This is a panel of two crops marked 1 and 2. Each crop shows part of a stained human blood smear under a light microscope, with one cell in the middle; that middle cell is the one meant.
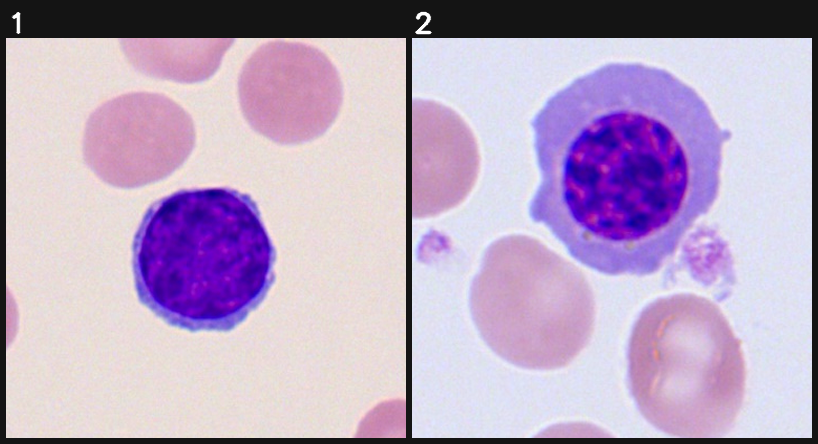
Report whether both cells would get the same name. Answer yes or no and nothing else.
no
